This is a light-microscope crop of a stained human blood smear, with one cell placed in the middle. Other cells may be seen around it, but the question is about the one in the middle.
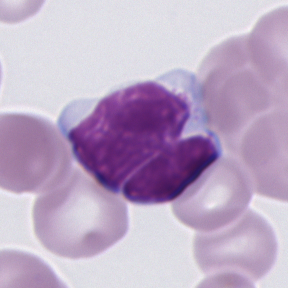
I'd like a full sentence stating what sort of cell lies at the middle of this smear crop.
Occupying the centre of the crop is a large granular lymphocyte.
